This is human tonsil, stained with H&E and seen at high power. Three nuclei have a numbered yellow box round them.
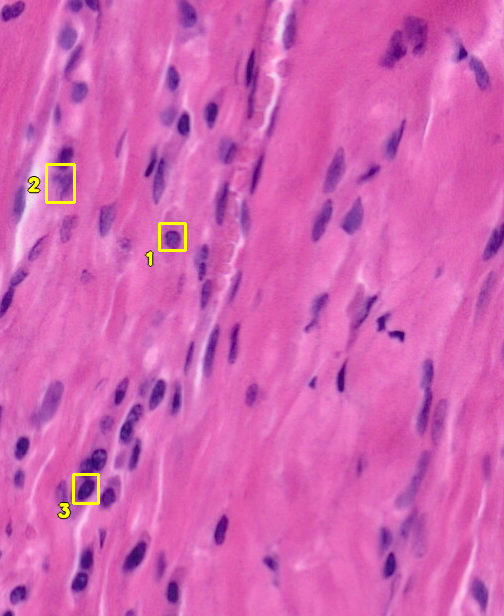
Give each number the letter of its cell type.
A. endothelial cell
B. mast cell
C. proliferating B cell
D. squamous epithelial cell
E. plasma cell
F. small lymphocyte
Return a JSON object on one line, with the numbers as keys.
{"1": "B", "2": "A", "3": "E"}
